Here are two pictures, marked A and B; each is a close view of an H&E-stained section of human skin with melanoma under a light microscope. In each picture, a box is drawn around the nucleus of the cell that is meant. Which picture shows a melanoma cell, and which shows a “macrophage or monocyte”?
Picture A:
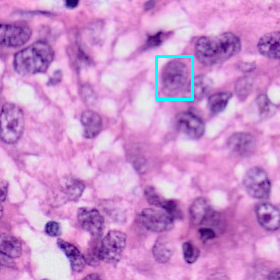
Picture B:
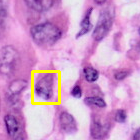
A: melanoma cell
B: macrophage or monocyte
